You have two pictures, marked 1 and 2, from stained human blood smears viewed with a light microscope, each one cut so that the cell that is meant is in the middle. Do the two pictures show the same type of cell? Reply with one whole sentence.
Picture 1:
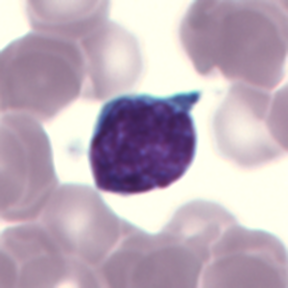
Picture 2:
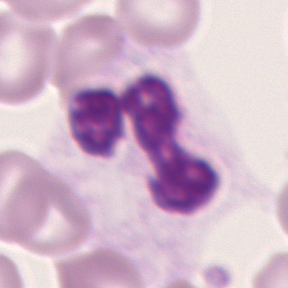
No, picture 1 shows a typical lymphocyte and picture 2 shows a segmented neutrophil.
